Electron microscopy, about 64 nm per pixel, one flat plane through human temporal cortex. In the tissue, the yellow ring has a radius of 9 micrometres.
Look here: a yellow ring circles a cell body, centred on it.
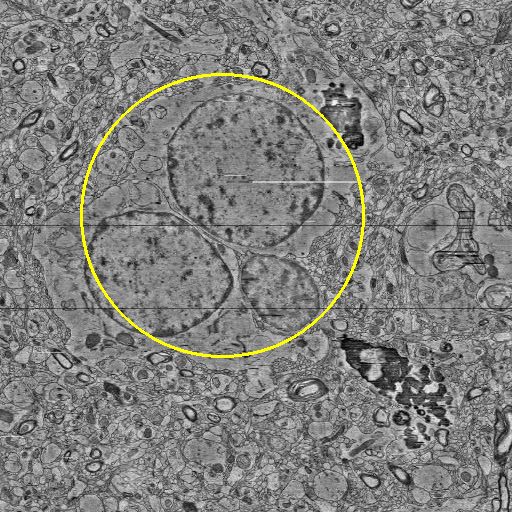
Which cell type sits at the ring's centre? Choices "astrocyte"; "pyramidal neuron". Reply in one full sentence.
The cell at the centre of the yellow ring in the picture is an astrocyte.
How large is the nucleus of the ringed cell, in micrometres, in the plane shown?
Approximately 10 micrometers across in this plane.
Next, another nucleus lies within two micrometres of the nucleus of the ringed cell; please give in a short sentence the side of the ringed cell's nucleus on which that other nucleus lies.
The second nucleus sits to the lower left of it.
